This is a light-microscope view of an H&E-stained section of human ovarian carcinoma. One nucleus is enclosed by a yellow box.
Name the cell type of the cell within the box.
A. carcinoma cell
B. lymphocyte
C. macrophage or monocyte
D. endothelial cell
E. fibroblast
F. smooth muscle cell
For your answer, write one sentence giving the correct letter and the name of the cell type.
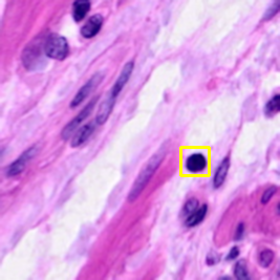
Hey, it is option B: the cell within the box is a lymphocyte.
